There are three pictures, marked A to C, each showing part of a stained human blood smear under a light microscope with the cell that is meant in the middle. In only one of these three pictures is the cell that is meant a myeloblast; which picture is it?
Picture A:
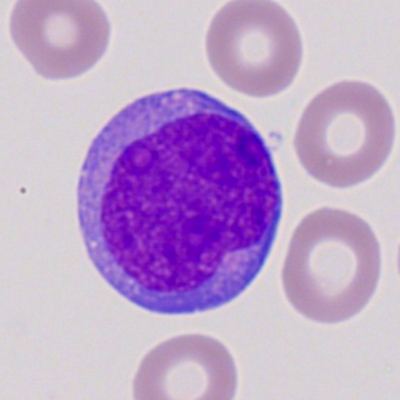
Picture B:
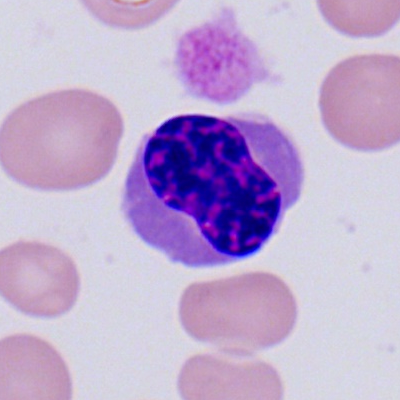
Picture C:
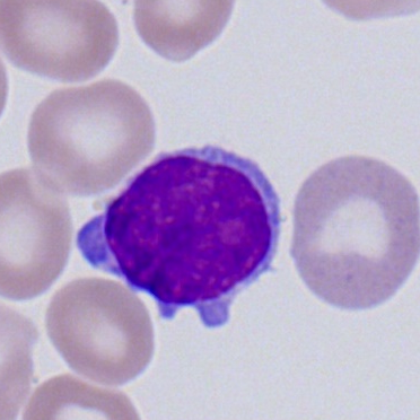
A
